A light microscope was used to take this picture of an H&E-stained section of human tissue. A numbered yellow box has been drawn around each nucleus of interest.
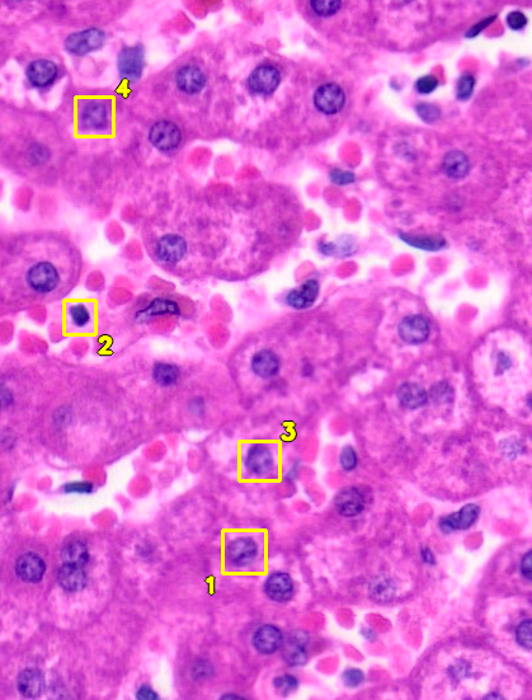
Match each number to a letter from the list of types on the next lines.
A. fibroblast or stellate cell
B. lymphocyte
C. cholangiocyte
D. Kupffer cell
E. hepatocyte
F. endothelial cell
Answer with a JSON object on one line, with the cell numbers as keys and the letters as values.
{"1": "E", "2": "B", "3": "E", "4": "E"}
